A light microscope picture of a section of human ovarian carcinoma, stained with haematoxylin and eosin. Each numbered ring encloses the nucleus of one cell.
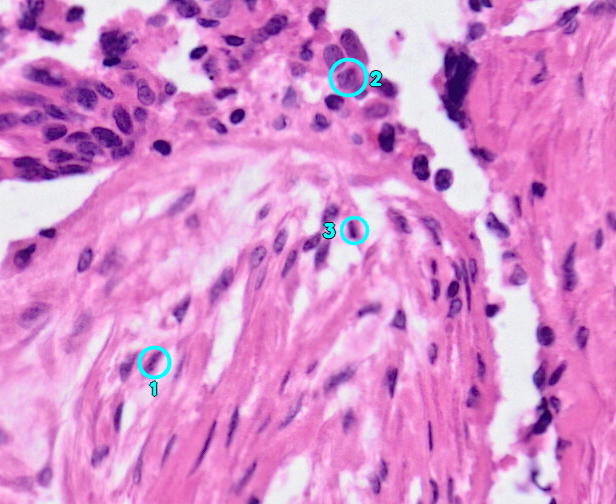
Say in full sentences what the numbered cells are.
Cell 1 is a fibroblast, cell 2 is a carcinoma cell and cell 3 is a fibroblast.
